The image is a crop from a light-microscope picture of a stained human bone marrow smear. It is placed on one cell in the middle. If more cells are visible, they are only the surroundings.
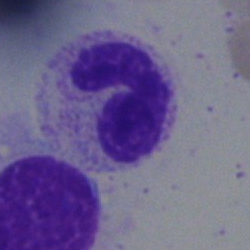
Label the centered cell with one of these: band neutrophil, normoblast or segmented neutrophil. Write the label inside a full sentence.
The cell at the middle of the frame should be recorded as a band neutrophil.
